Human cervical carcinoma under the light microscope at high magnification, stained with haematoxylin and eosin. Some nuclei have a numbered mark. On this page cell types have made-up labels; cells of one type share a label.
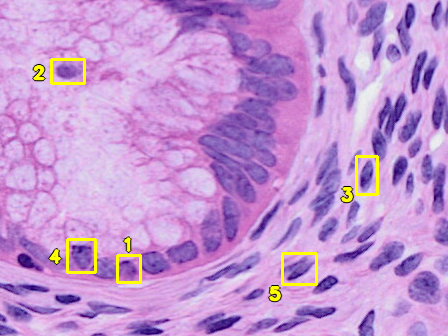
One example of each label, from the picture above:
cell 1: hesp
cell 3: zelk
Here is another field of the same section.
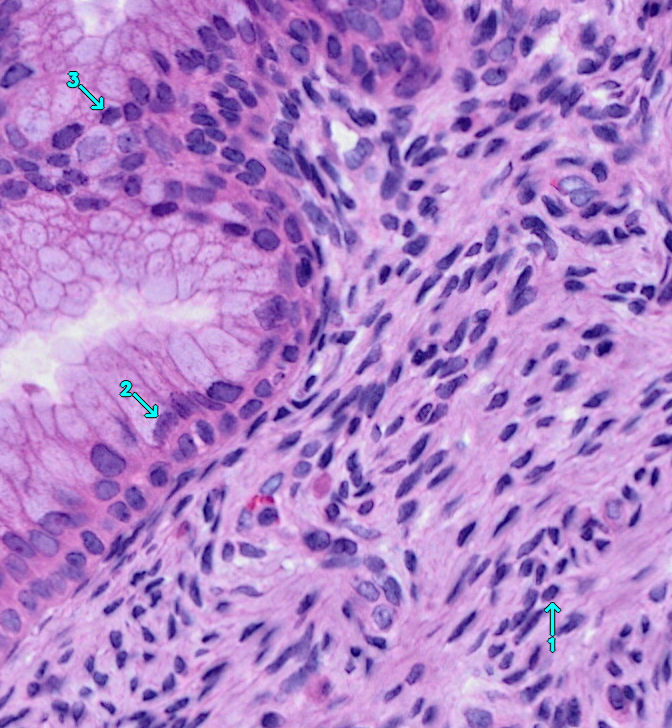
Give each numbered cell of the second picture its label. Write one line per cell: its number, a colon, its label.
1: zelk
2: hesp
3: hesp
